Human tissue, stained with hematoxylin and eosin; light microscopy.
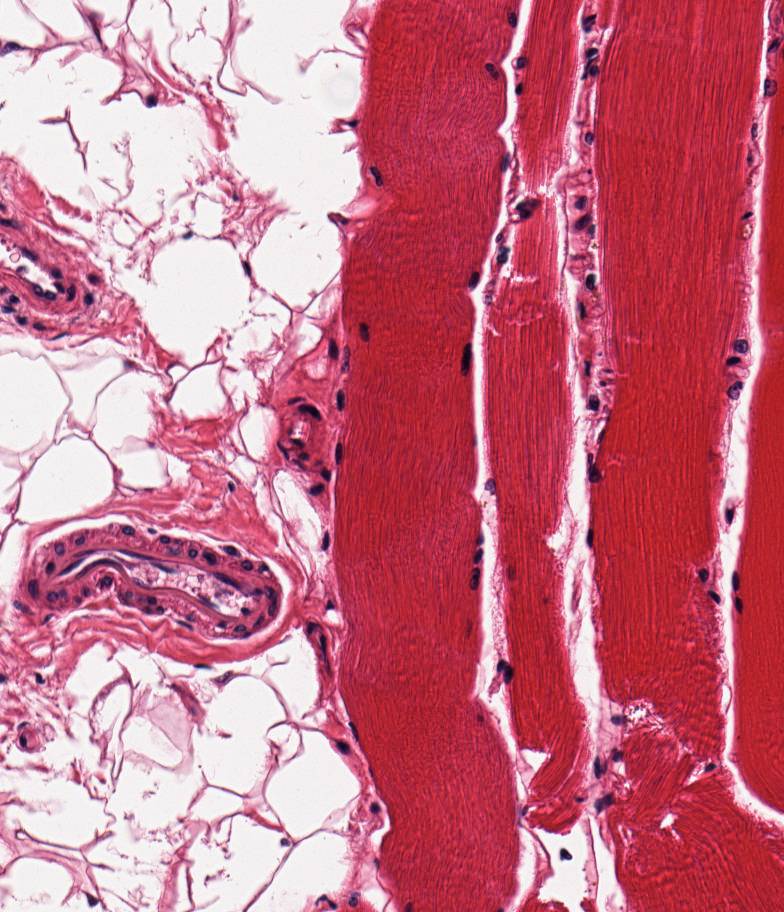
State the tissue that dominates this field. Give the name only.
skeletal muscle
